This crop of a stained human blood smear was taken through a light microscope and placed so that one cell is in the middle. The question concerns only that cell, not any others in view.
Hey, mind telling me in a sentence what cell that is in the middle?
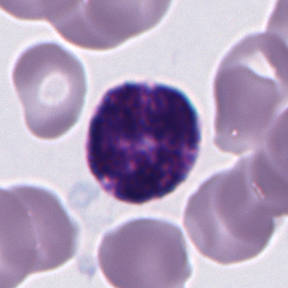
Answering briefly, the cell in the middle is a basophil.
